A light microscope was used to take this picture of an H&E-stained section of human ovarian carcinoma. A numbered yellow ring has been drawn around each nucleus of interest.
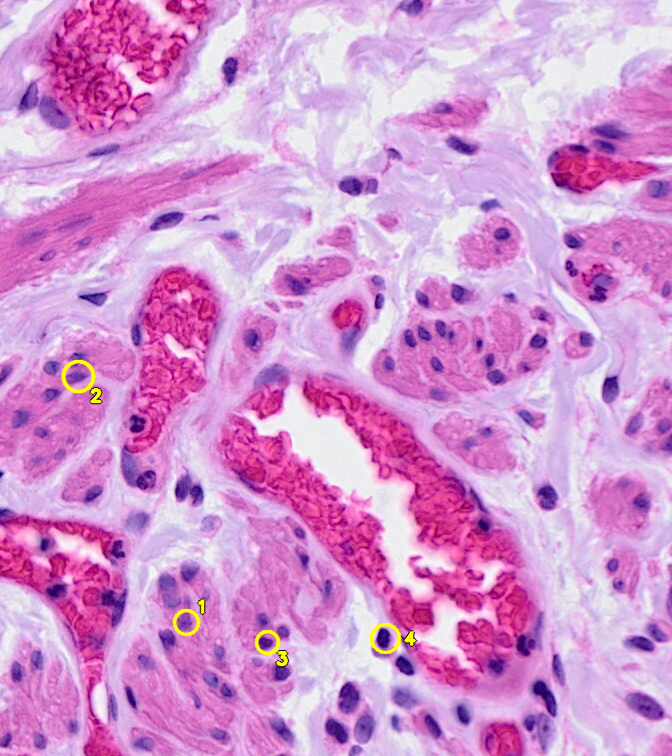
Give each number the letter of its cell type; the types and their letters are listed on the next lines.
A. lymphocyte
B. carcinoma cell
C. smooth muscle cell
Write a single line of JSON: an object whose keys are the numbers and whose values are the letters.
{"1": "C", "2": "C", "3": "C", "4": "A"}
